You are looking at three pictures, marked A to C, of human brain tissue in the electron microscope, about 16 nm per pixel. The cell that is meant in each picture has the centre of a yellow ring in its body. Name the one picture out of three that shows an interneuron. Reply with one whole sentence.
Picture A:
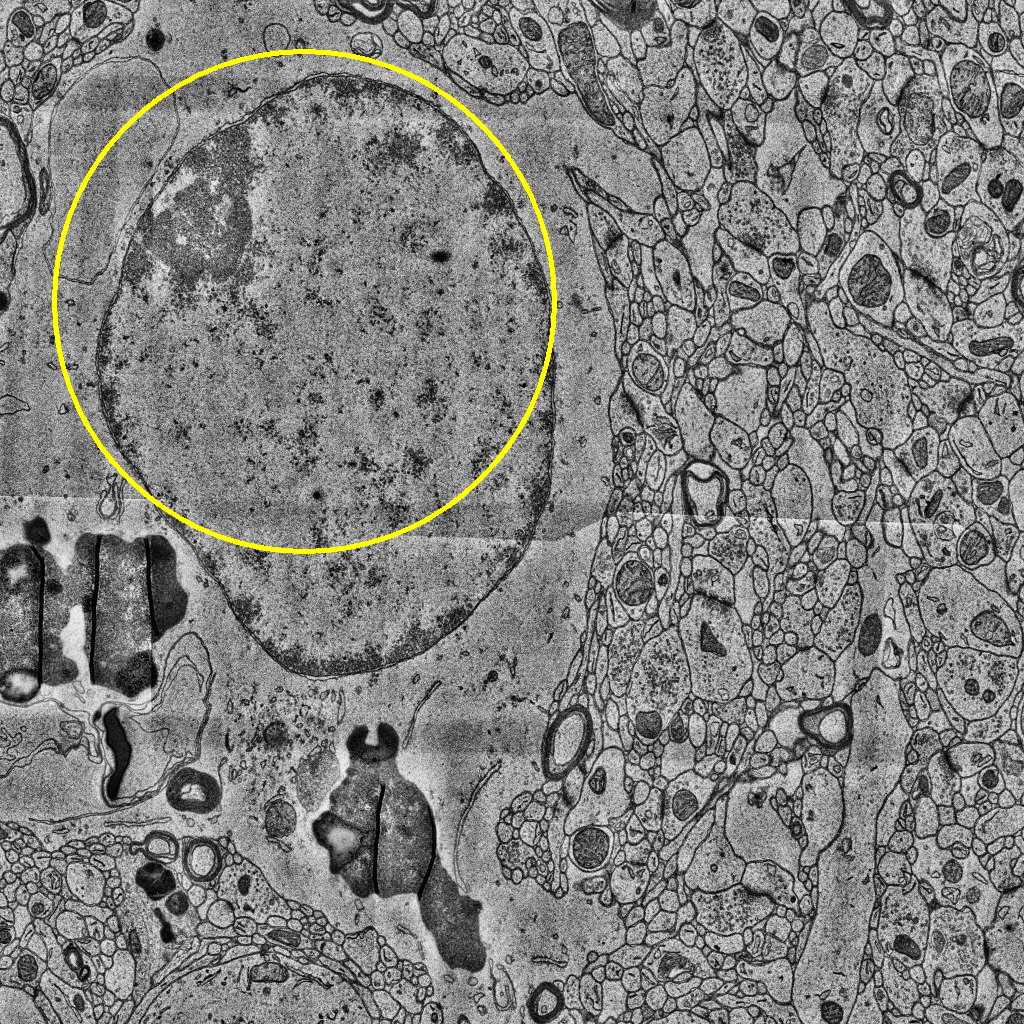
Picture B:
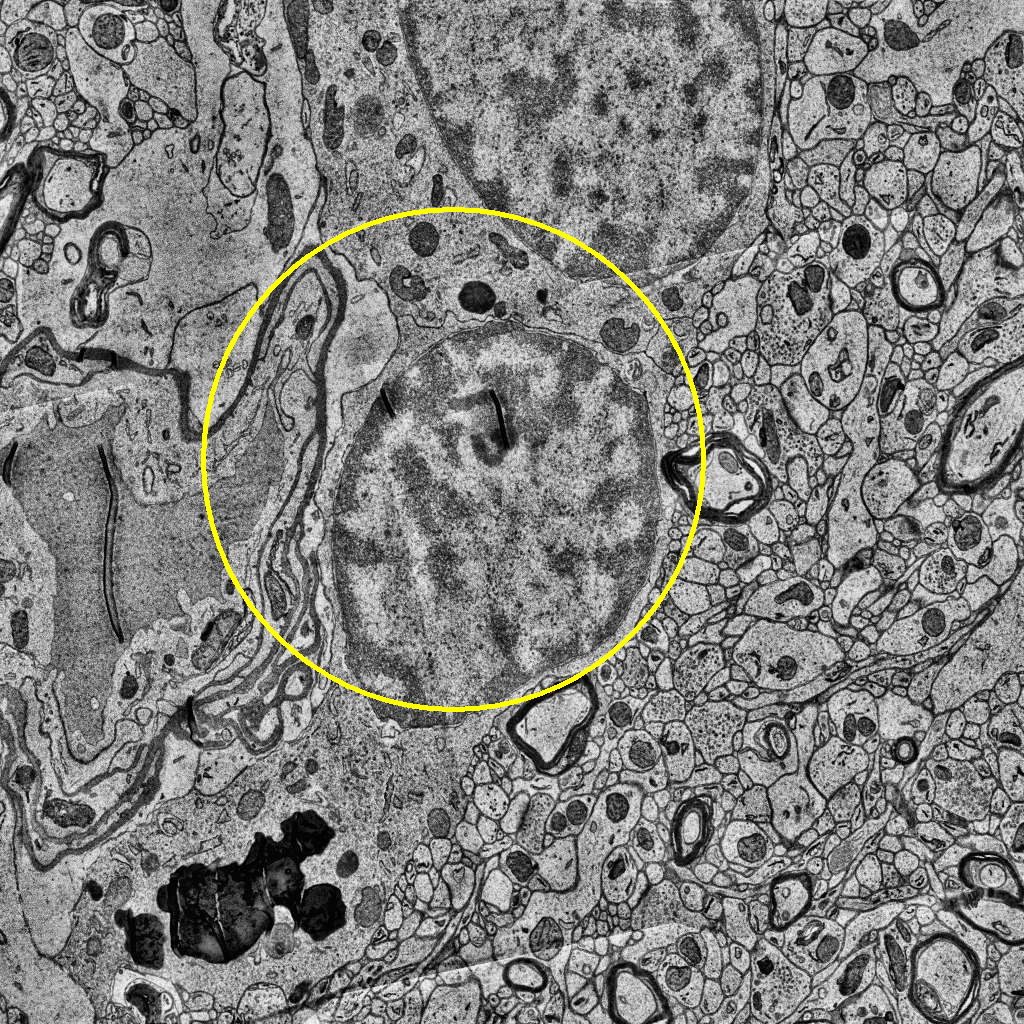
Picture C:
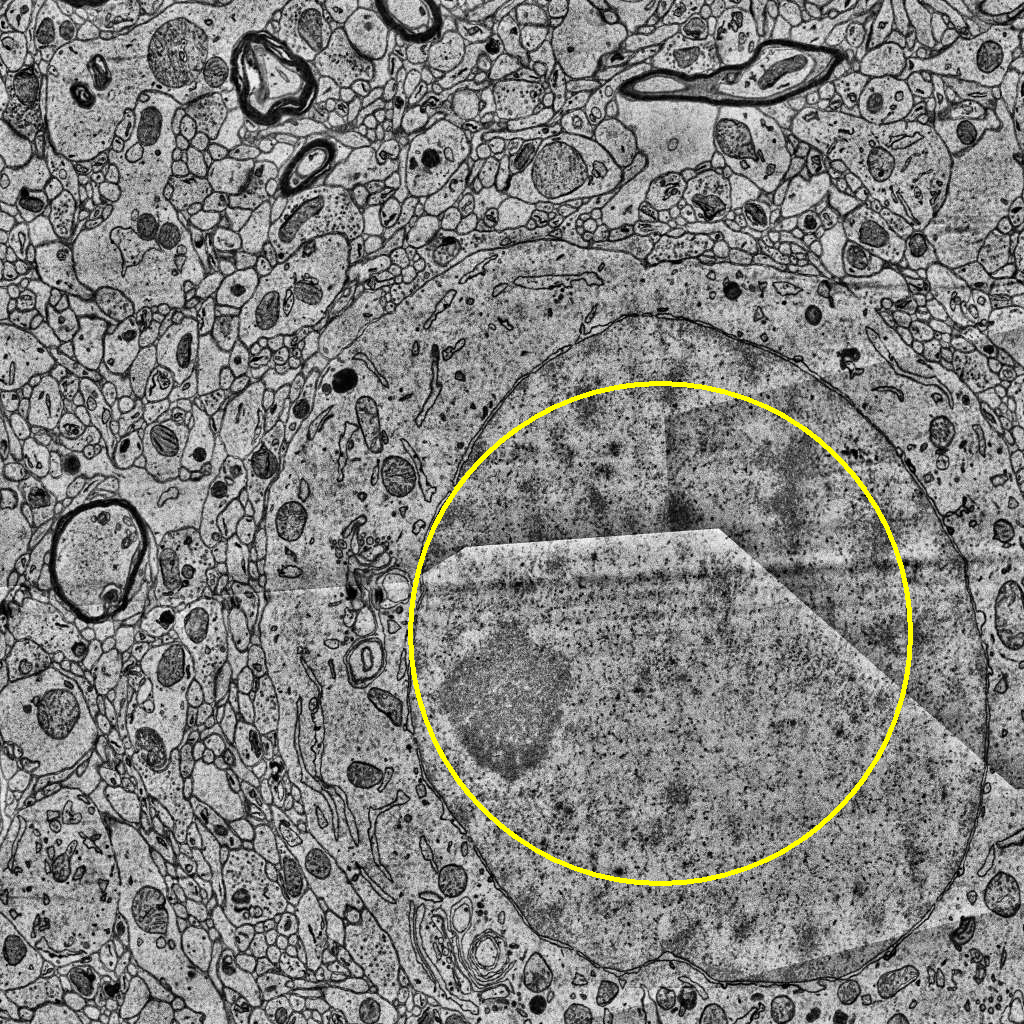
Picture C is the one that shows the interneuron.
